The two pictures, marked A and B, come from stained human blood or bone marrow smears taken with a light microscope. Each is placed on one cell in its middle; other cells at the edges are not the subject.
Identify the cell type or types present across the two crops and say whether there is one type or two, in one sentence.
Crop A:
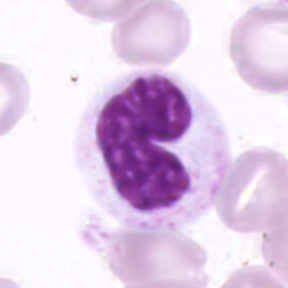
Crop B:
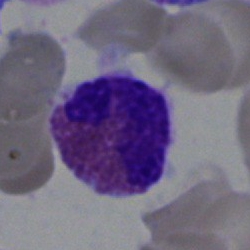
No, crop A carries a band neutrophil and crop B carries an eosinophil.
